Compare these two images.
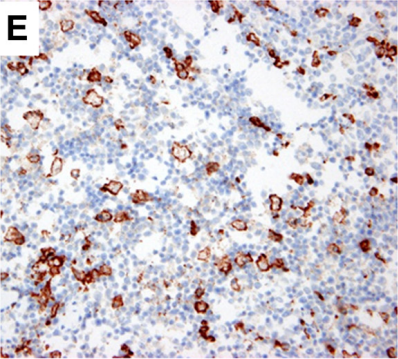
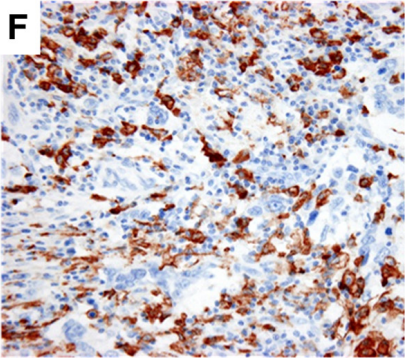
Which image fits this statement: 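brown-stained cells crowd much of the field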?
The second image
